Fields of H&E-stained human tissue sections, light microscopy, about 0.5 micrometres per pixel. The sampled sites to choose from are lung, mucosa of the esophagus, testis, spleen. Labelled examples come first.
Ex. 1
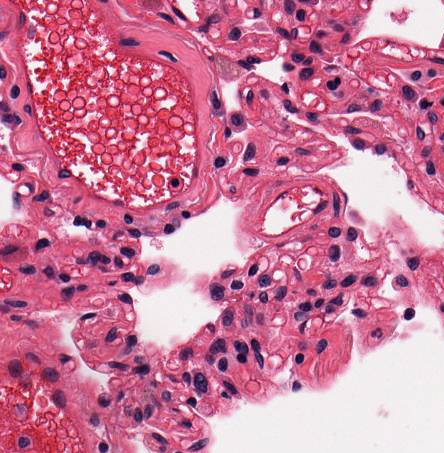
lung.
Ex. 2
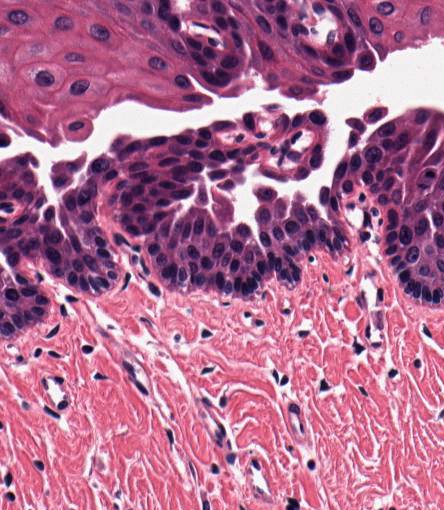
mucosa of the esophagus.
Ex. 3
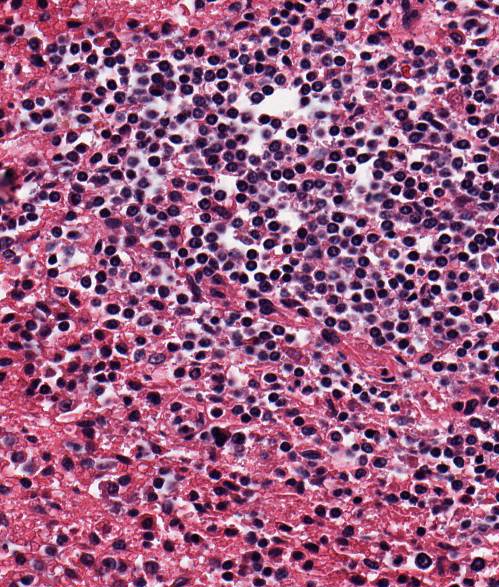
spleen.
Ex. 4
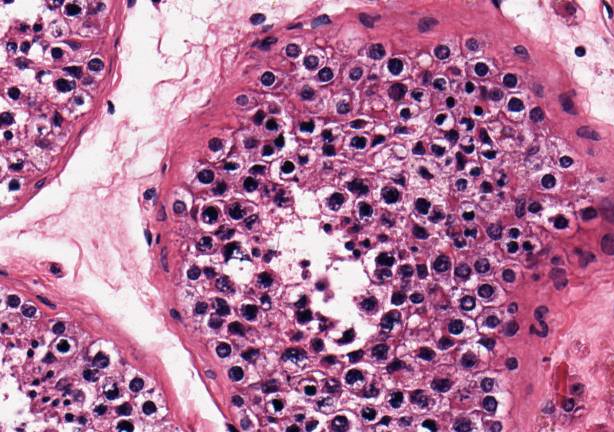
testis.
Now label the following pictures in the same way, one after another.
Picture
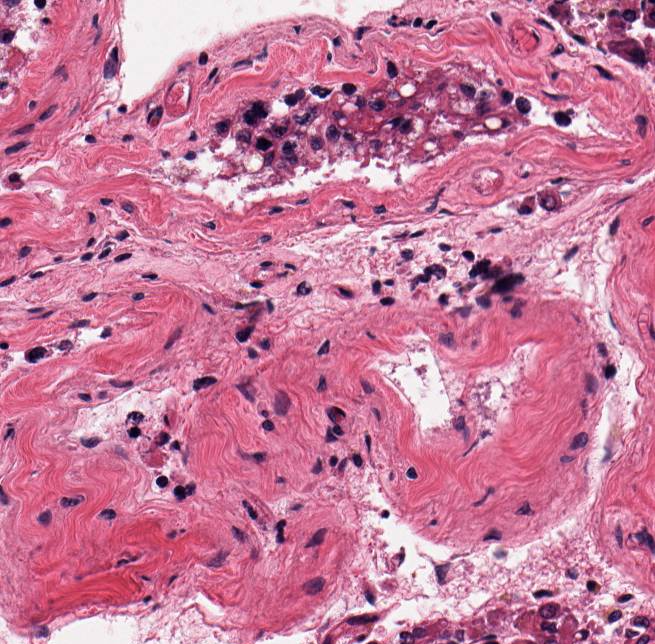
testis.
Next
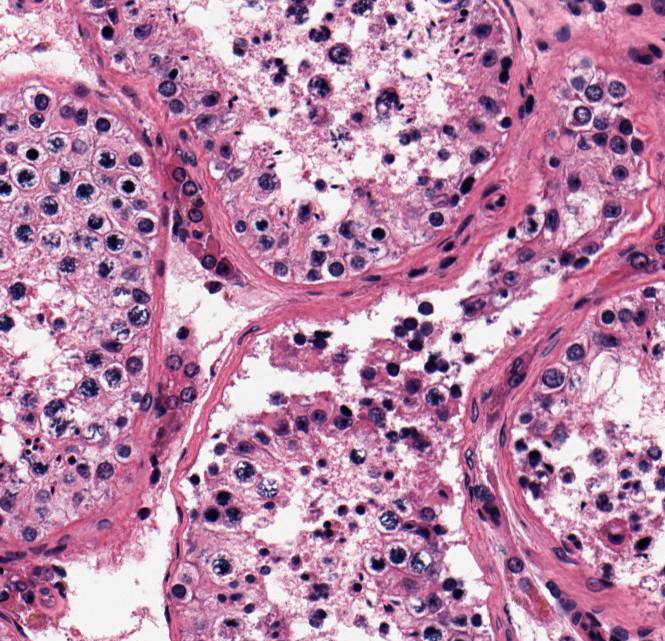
testis.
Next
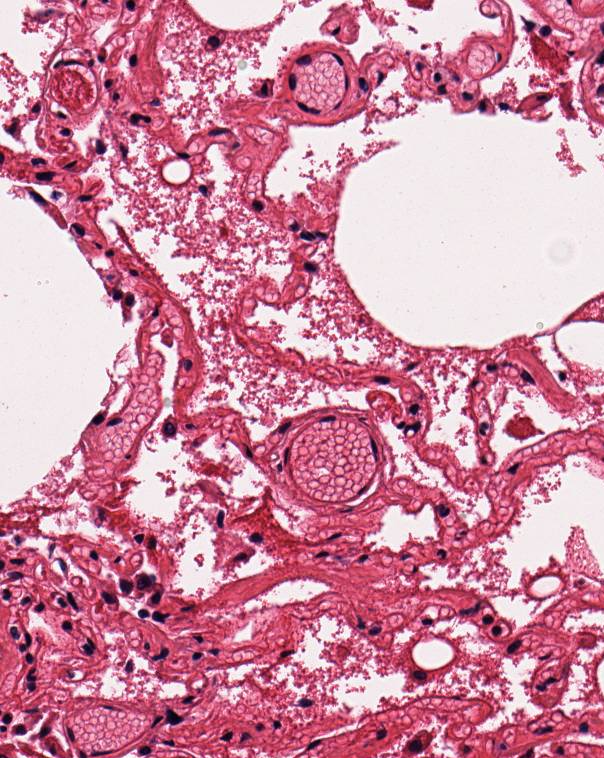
lung.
